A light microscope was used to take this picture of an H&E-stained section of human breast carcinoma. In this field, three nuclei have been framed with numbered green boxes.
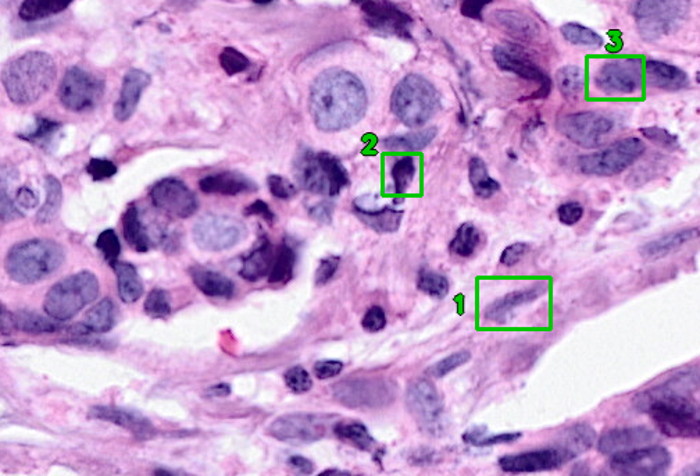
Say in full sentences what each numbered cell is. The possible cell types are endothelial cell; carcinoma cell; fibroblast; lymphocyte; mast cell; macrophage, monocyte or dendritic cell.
Cell 1 is a fibroblast. Cells 2 and 3 are carcinoma cells.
